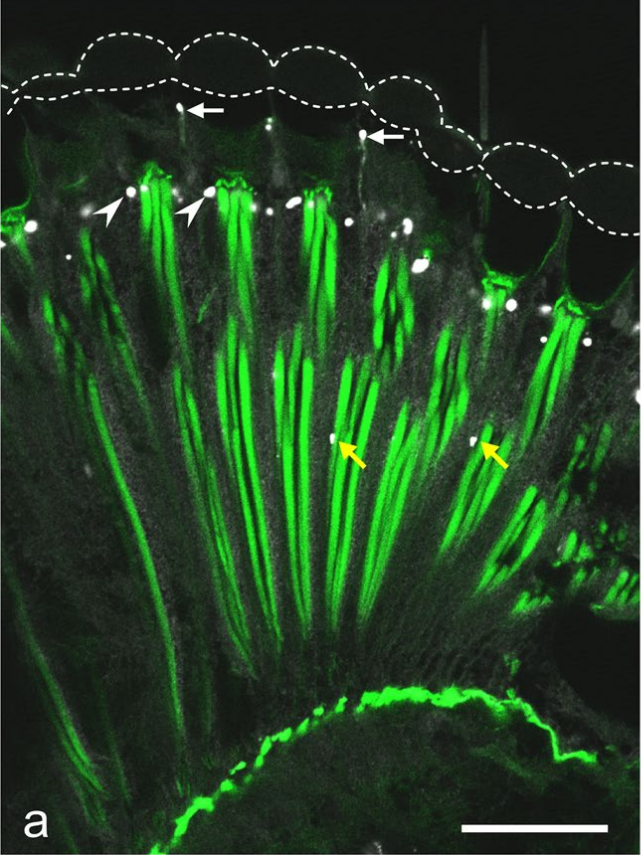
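A section through the eye shows many long bright green bundles of photoreceptor cells fanning downward and inward from a row of domes at the top, which is the cornea. Small bright white dots cluster at the upper, distal ends of the bundles, just below the cornea. Scattered white dots also lie further down among the bundles. A wavy bright green band crosses near the bottom.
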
